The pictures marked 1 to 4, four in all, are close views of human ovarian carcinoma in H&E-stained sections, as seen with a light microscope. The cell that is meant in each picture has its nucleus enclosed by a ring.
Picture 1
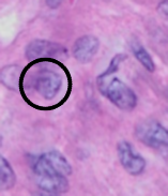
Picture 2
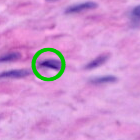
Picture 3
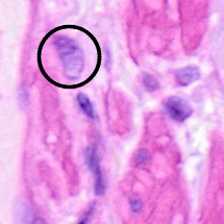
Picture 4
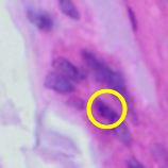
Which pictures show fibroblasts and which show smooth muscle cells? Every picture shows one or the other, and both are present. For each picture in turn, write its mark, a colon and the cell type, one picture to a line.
1: fibroblast
2: smooth muscle cell
3: fibroblast
4: smooth muscle cell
